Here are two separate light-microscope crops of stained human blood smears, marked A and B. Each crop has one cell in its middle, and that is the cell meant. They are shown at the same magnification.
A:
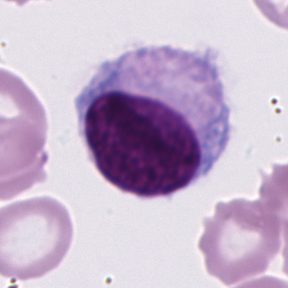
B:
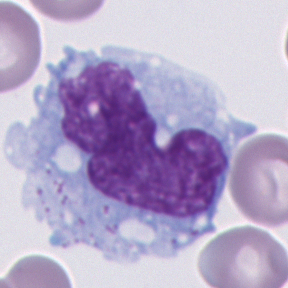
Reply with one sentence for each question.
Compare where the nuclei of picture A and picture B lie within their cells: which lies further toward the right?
The nucleus in picture B lies further toward the right of its cell.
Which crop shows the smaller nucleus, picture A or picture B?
Smaller is the nucleus in picture A, and the other is about 1.5 times as large in area.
